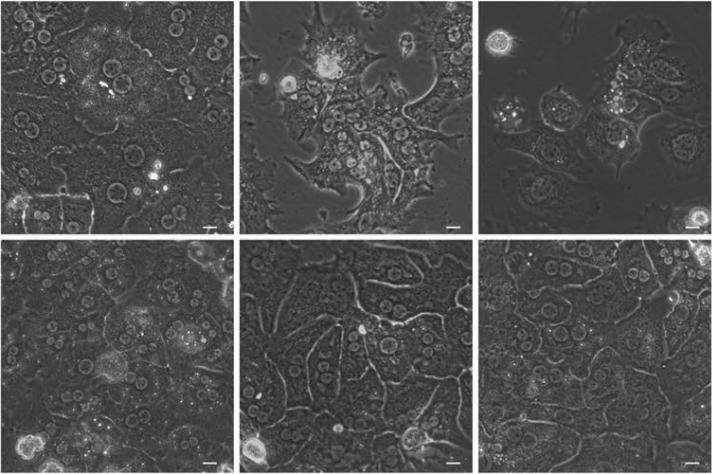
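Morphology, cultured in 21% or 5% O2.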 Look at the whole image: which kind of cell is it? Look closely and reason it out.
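Large polygonal cells in a cobblestone-like sheet. Round central nuclei with prominent nucleoli. Many cells contain two nuclei. That points to this answer: primary hepatocytes.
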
